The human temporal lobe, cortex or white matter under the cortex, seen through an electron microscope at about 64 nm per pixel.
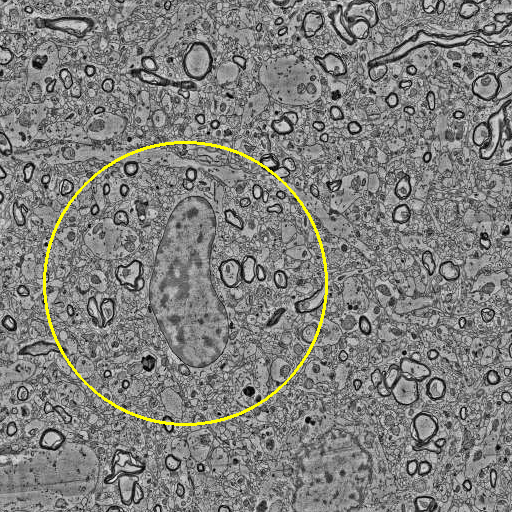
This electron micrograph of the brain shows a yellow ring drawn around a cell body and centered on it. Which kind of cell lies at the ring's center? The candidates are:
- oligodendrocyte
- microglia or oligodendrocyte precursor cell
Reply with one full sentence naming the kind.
The cell lying at the ring's center in this micrograph is a microglial cell or oligodendrocyte precursor cell.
